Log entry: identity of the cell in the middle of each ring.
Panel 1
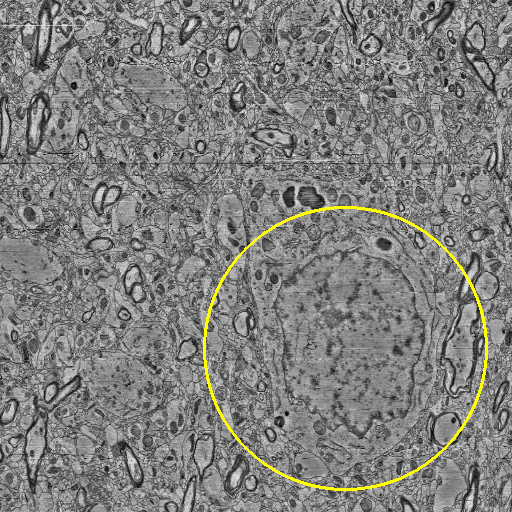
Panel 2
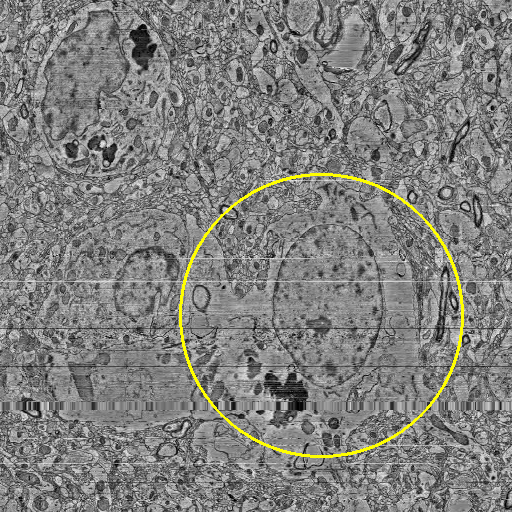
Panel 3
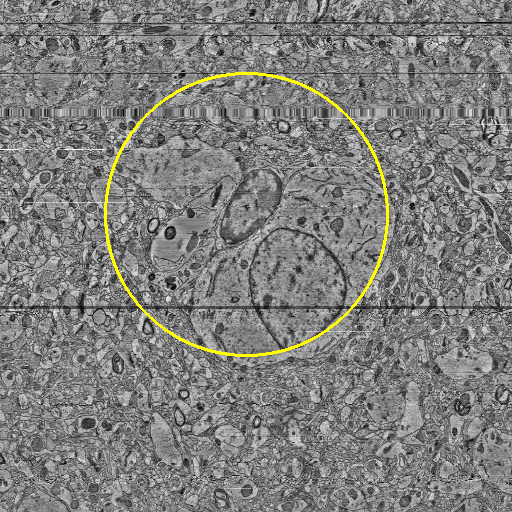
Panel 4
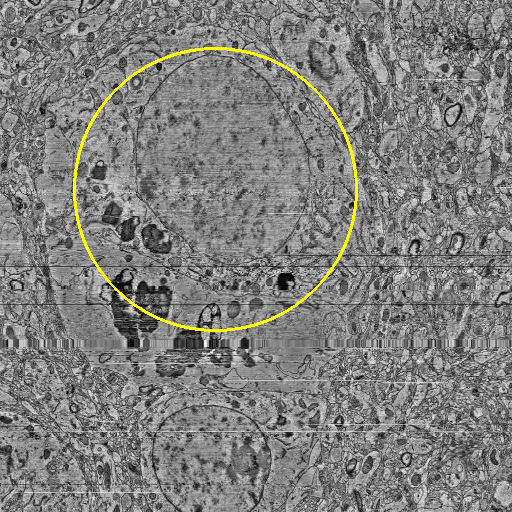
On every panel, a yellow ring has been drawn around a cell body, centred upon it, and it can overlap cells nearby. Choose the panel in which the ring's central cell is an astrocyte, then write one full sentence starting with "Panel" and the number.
Panel 2 shows the requested cell sitting in the middle of its ring.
